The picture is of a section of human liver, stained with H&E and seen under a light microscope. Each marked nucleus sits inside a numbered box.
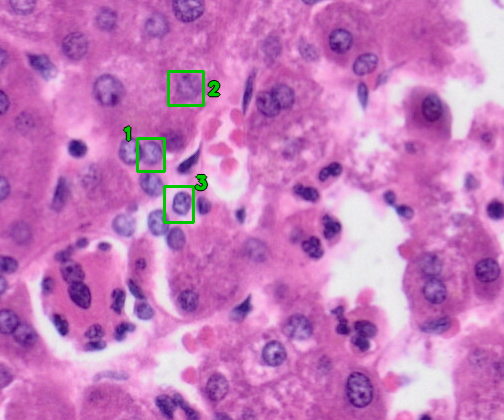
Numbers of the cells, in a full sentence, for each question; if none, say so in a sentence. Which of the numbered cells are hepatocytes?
Among the marked cells, cell number 2 alone is a hepatocyte.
